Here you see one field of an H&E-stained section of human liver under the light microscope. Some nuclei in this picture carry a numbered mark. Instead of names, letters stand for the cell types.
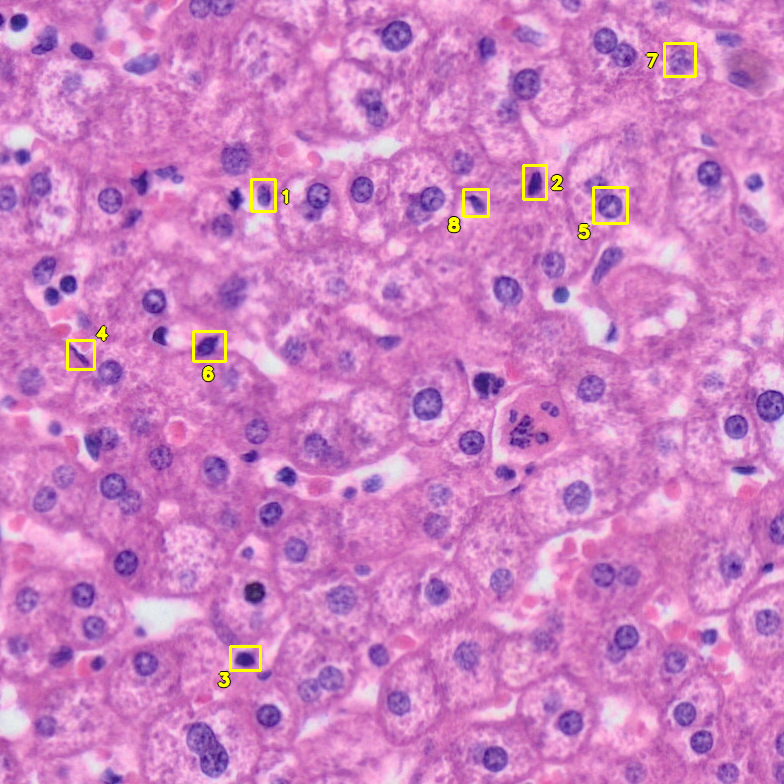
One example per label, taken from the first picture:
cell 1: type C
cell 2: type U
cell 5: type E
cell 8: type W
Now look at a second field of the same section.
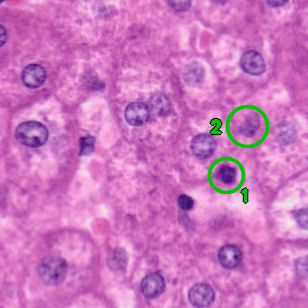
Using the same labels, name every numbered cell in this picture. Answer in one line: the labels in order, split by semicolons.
type U; type W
